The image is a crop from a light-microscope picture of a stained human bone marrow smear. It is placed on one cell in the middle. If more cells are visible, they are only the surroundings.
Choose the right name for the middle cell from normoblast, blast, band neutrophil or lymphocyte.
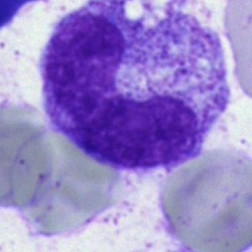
band neutrophil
